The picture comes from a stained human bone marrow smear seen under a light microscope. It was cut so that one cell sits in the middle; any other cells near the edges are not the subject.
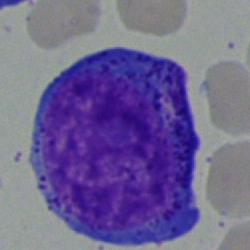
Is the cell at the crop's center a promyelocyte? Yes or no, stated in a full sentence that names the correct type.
Yes, the cell in the exact middle is a promyelocyte.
